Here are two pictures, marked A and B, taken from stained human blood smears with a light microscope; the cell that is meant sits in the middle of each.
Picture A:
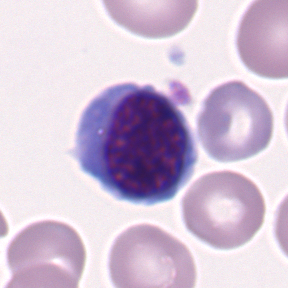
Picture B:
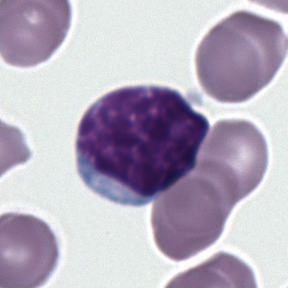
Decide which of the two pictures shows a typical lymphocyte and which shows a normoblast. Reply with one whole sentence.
The cell in picture A is a normoblast, and the one in picture B is a typical lymphocyte.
